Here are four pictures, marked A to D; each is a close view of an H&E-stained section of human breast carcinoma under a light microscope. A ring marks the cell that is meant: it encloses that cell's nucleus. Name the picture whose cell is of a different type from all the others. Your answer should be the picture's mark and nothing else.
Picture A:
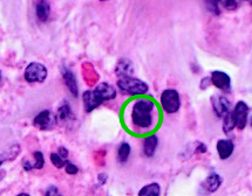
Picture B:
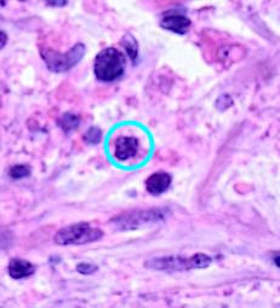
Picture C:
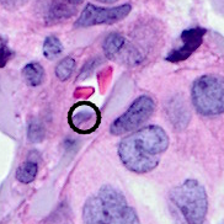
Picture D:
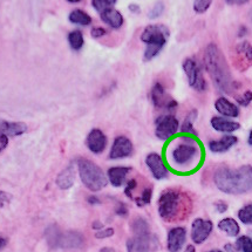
C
